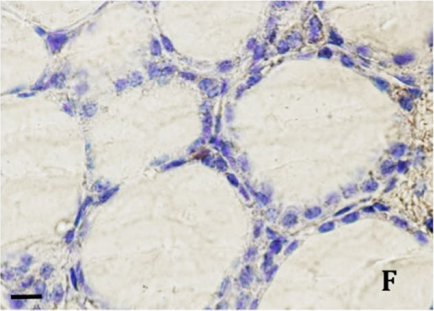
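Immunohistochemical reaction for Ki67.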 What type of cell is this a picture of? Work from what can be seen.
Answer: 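Large round cavities filled with pale, homogeneous material. Each cavity is lined by a single layer of flattened cells with blue nuclei. The lined cavities lie packed side by side with little tissue between them.
Hence: thyroid follicular cells.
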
